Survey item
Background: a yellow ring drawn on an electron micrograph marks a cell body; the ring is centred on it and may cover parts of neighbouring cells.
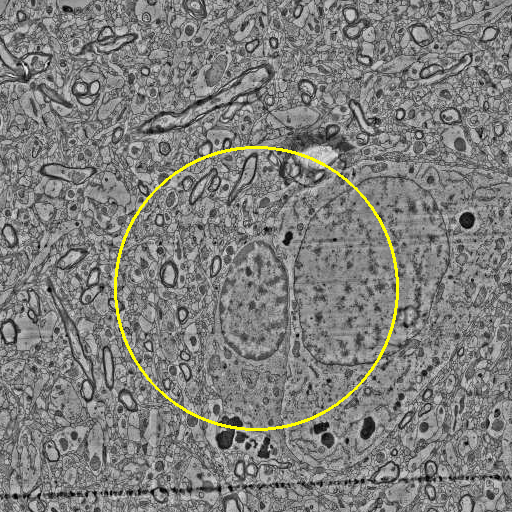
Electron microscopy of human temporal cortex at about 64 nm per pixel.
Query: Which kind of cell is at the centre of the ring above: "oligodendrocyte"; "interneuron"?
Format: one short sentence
The cell in the middle of the ring is an oligodendrocyte.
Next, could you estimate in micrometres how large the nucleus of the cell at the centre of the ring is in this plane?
Clearly longer than it is wide in this plane, the nucleus measures roughly 7 by 4 micrometres.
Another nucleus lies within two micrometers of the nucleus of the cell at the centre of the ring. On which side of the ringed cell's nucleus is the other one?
The second nucleus sits to the upper right of it.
